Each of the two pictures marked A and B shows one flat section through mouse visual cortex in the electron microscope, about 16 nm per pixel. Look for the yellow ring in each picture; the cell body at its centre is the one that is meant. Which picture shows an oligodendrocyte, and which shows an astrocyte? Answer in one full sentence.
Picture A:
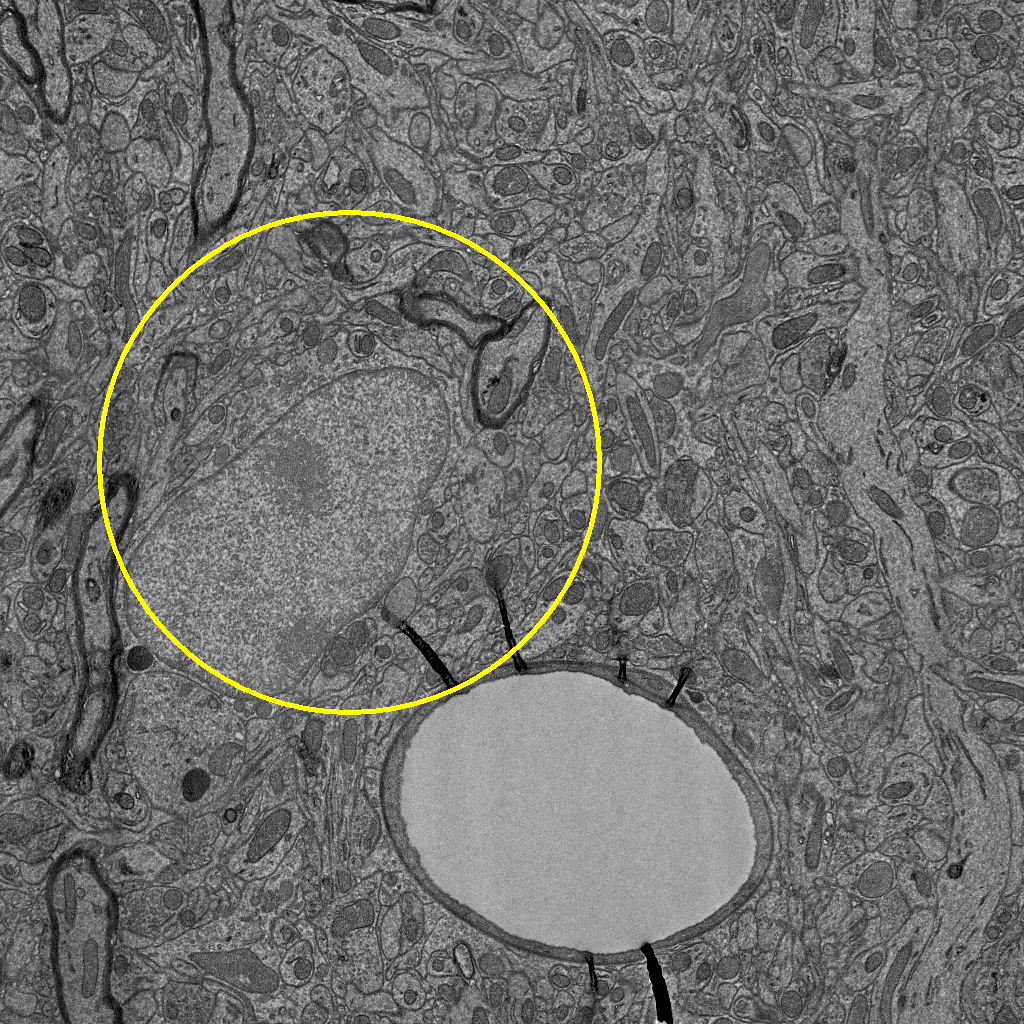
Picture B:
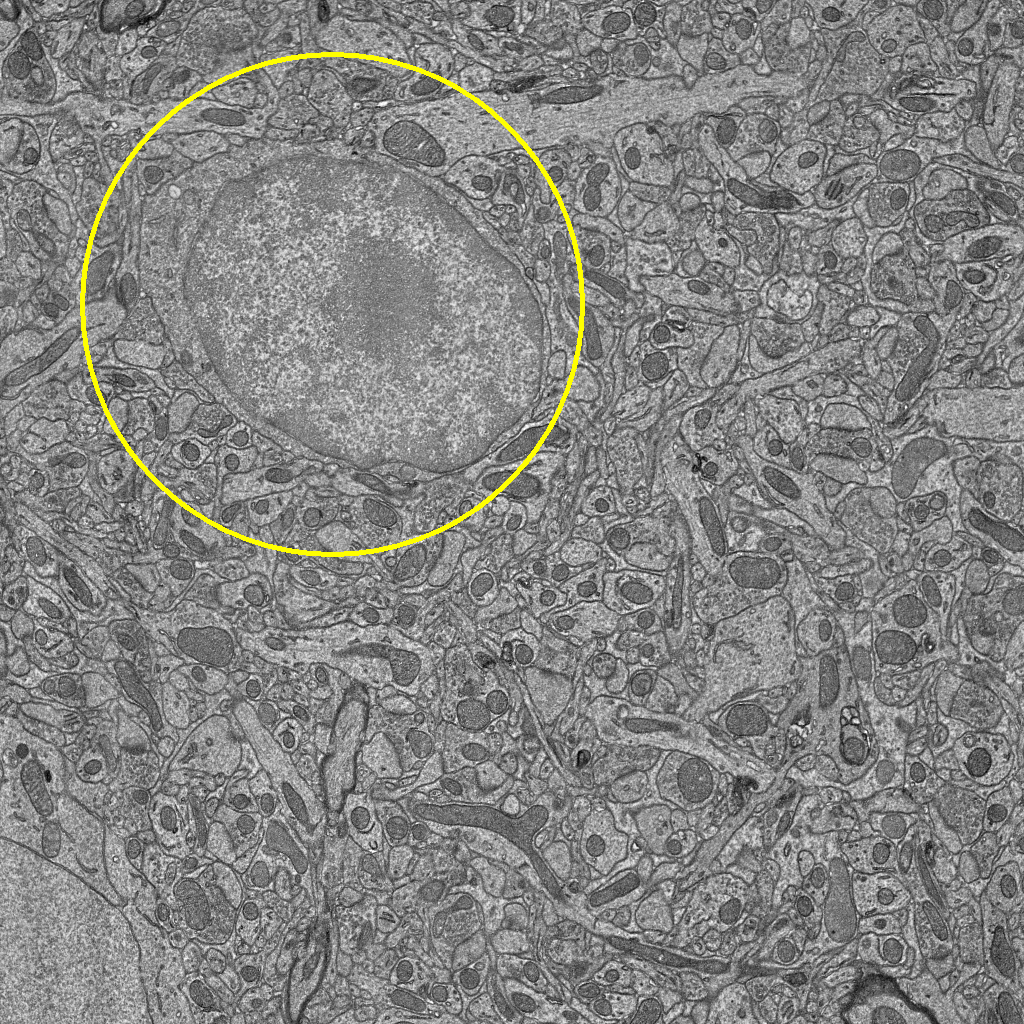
Picture A shows an astrocyte and picture B shows an oligodendrocyte.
